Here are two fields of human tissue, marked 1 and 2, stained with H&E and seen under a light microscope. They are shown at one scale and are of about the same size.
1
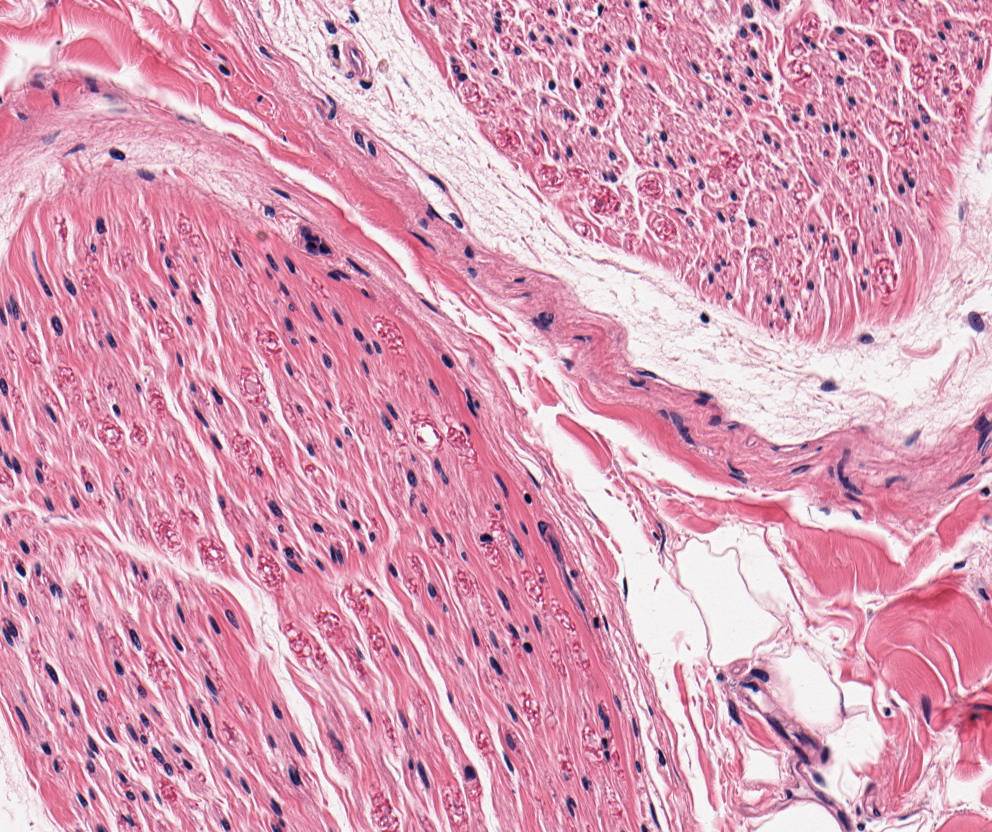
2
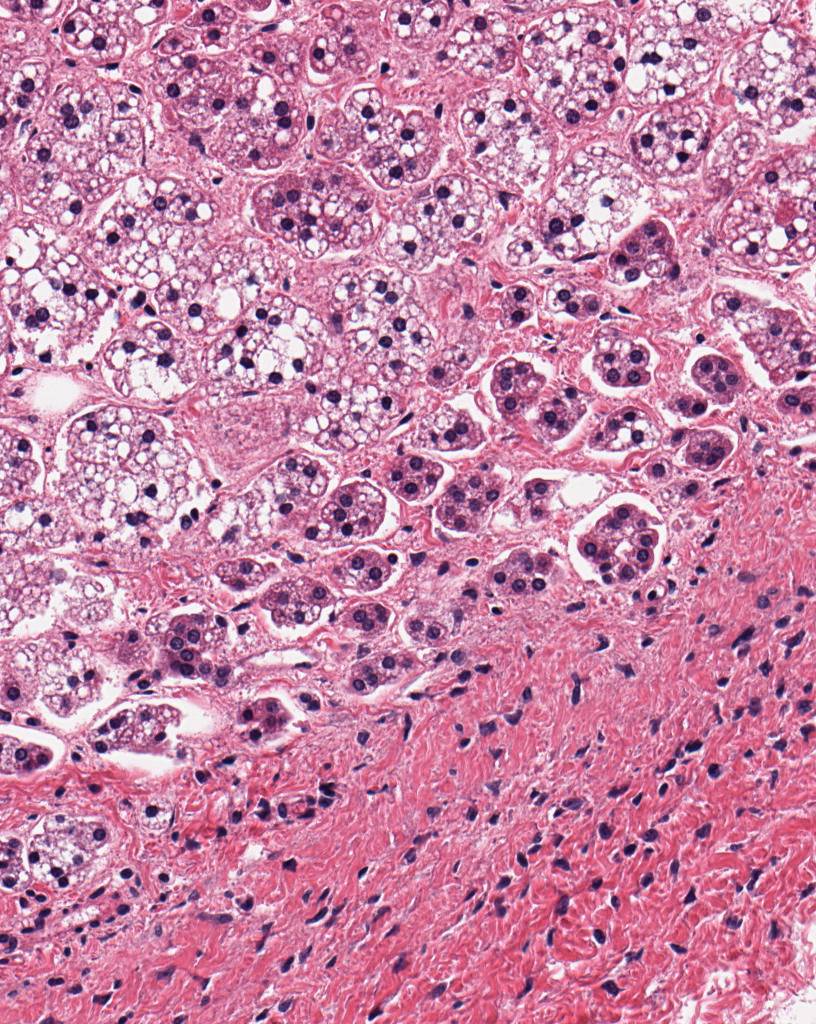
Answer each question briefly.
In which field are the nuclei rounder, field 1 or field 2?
2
